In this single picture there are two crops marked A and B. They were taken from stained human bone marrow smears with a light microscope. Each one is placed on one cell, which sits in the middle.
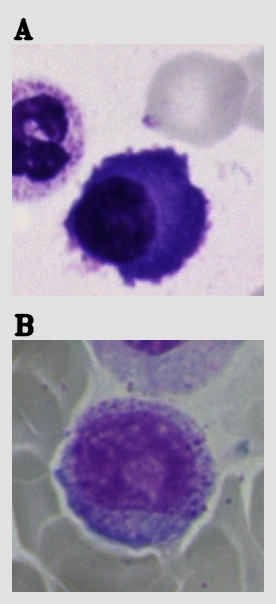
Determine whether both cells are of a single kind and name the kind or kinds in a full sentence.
No, crop A shows a plasma cell, with a myelocyte shown in crop B.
